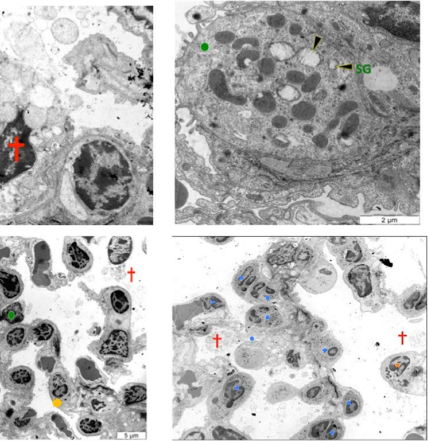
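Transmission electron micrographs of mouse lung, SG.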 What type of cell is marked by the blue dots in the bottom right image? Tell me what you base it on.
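Neutrophil. The marked cells have segmented, lobed nuclei. They lie free in the alveolar spaces.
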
